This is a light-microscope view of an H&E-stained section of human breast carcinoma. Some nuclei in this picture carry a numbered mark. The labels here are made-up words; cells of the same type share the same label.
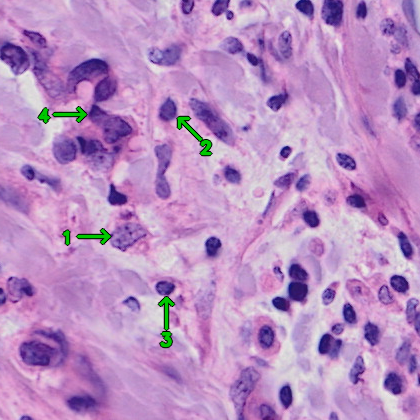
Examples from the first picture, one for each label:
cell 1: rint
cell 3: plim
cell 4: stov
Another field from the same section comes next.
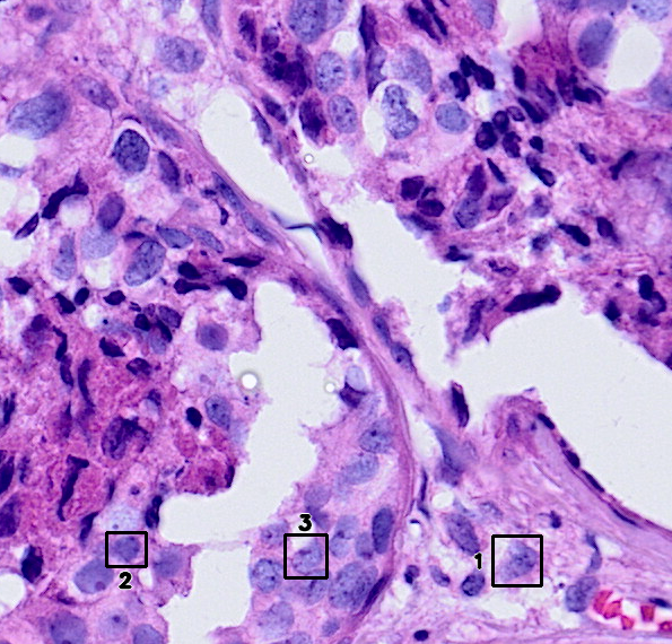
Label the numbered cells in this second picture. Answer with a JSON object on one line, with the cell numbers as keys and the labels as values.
{"1": "rint", "2": "stov", "3": "stov"}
